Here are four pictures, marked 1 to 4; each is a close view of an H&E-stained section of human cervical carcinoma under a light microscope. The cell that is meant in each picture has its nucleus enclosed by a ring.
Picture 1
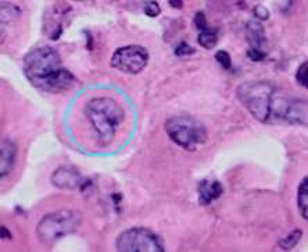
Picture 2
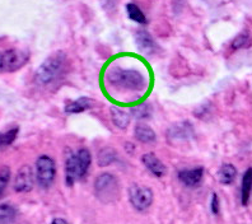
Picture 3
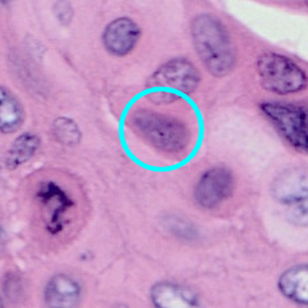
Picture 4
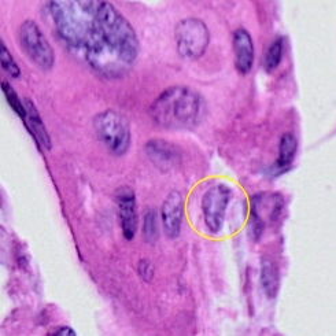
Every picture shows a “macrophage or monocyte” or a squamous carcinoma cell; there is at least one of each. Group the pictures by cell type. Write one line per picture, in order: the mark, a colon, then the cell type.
1: squamous carcinoma cell
2: macrophage or monocyte
3: squamous carcinoma cell
4: macrophage or monocyte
